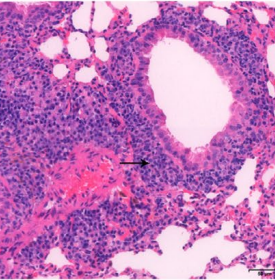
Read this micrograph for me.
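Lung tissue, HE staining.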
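The cell mass replaces the usual thin-walled air spaces over much of the field, with a patch of red blood cells within it. At the margins, open air spaces with thin pink walls remain.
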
